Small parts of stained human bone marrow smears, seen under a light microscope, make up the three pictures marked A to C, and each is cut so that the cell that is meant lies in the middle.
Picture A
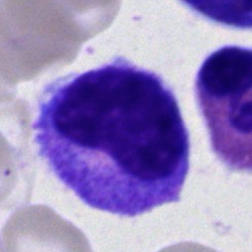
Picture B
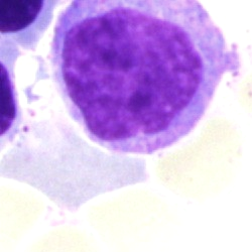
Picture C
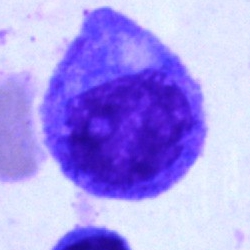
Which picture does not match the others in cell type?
B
